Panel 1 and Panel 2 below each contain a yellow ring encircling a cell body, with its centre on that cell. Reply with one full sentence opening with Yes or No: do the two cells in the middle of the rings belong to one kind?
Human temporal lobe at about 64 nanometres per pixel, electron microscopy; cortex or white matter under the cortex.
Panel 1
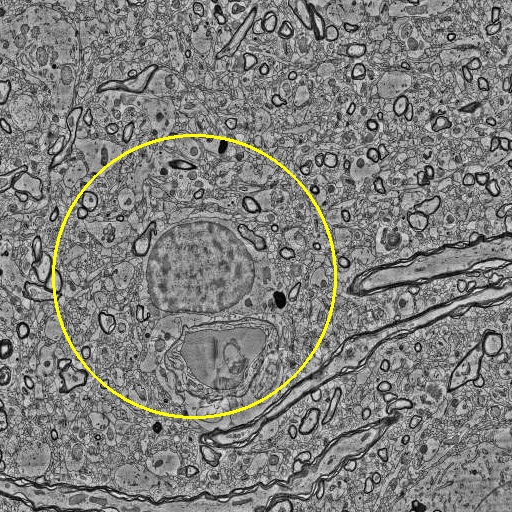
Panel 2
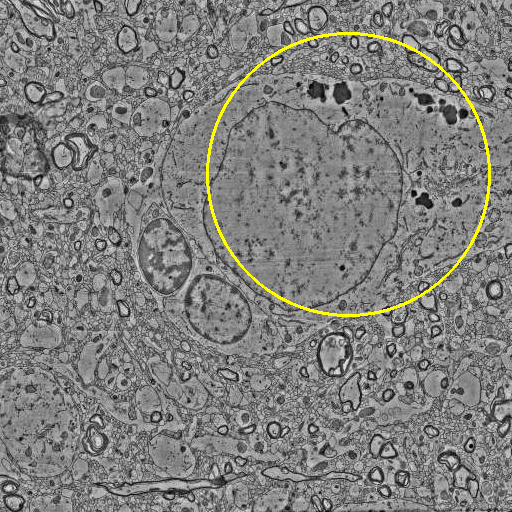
No, the cells at the middle of the Panel 1 ring and the Panel 2 ring are of two kinds.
